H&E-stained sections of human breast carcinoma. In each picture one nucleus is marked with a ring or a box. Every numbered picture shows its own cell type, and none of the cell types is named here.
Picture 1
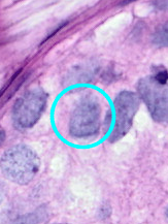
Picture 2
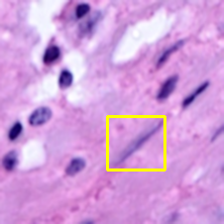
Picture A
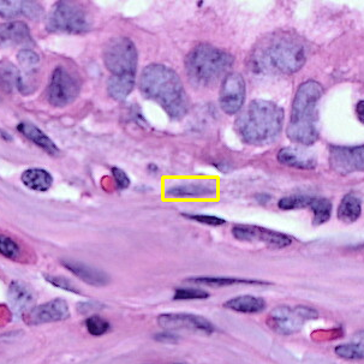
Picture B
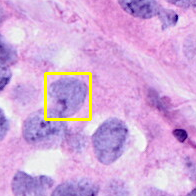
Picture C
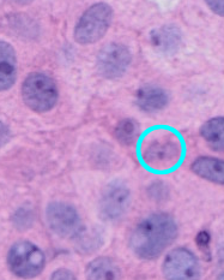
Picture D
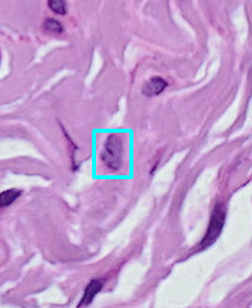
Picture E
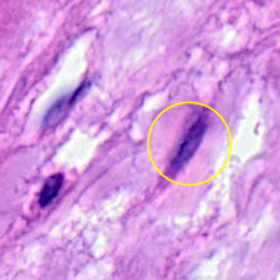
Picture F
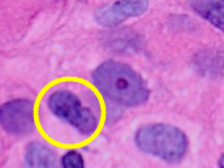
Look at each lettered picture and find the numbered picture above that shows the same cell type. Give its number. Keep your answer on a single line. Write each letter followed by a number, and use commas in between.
A 2, B 1, C 1, D 2, E 2, F 1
